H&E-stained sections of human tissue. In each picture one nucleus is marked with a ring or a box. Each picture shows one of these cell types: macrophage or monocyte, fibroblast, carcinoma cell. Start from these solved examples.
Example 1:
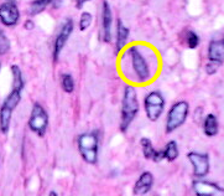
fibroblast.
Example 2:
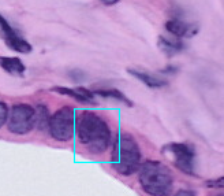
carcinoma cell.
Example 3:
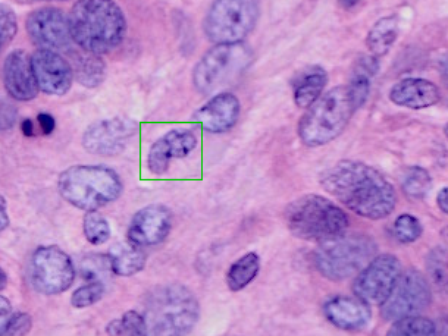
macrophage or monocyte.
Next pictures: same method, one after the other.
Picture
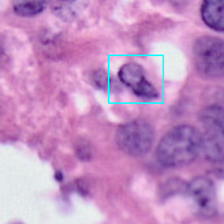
macrophage or monocyte.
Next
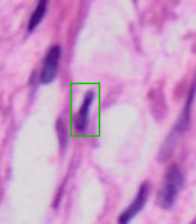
fibroblast.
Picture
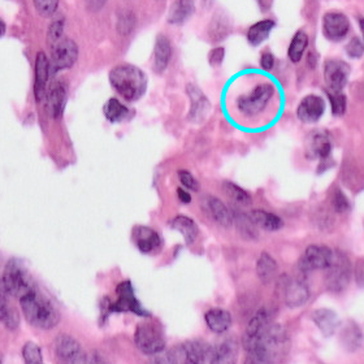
macrophage or monocyte.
